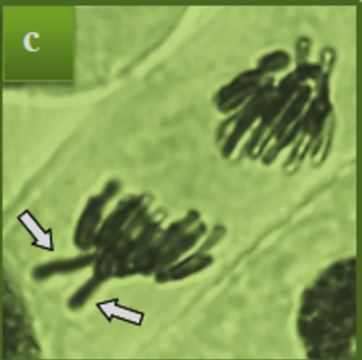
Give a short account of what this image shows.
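Here a cell in division shows its chromosomes separated into two groups, one at the upper right and one at the lower left. The chromosomes are dark rods lying roughly parallel within each group. At the lower group a few chromosomes stick out and lie away from the rest, not in line with their group. Faint cell walls and a resting nucleus can be seen at the edges.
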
